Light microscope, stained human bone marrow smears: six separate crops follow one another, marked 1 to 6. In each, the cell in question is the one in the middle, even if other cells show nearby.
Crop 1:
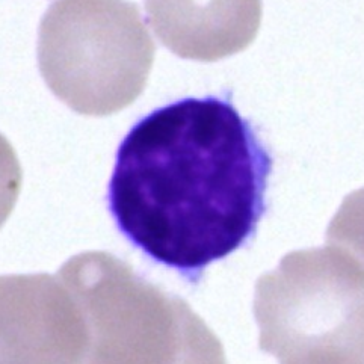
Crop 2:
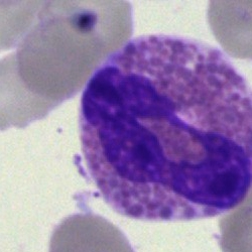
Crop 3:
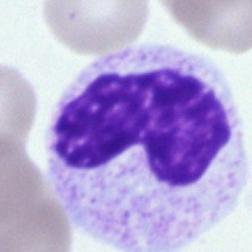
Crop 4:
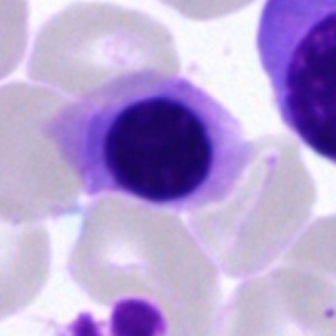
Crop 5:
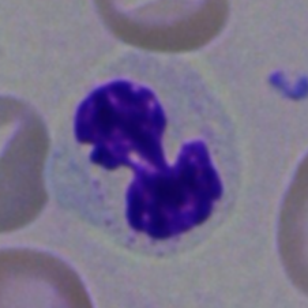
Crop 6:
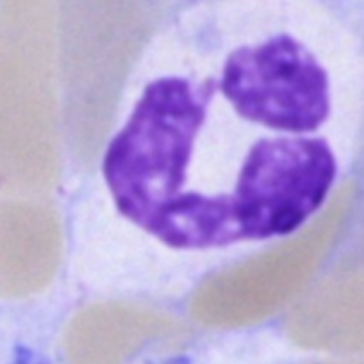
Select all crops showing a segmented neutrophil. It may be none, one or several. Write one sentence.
In crops 5 and 6, segmented neutrophils occupy the centre.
